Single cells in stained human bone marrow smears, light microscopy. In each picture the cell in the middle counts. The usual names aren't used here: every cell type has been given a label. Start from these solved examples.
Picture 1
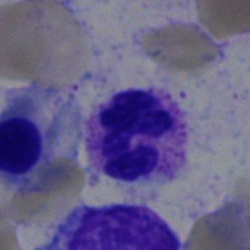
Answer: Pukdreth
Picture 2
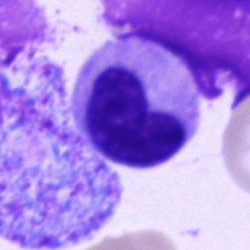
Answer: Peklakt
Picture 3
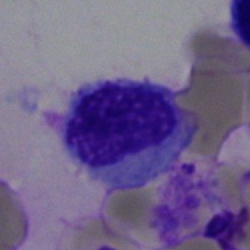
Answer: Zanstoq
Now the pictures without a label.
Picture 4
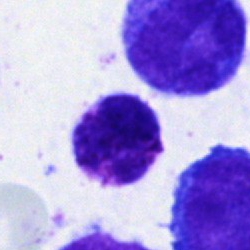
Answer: Pukdreth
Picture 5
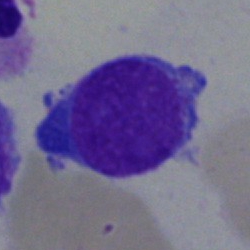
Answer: Zanstoq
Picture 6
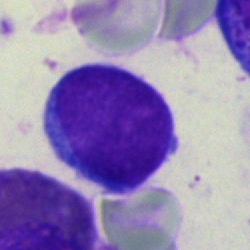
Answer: Zanstoq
